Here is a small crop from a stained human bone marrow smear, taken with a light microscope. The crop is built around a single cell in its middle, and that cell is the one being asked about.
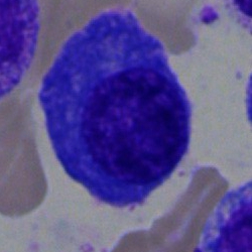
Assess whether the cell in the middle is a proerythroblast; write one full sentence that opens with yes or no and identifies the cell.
No, the cell in the middle should be called a plasma cell instead of a proerythroblast.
